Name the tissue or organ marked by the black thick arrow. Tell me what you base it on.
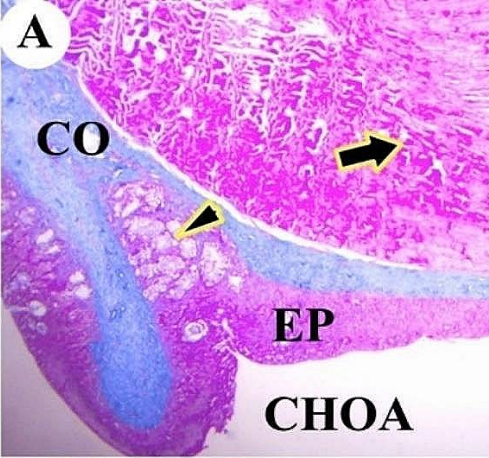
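Muscle. This area is separated from the epithelial side by a blue-stained band.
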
